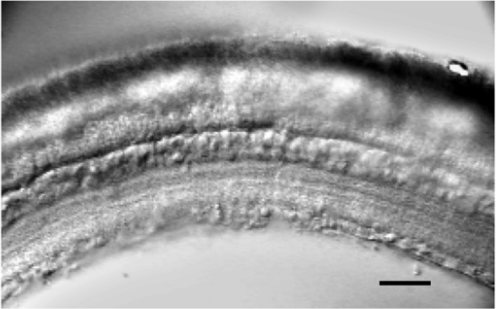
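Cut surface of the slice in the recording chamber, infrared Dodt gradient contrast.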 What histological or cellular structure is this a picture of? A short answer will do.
retinal layers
